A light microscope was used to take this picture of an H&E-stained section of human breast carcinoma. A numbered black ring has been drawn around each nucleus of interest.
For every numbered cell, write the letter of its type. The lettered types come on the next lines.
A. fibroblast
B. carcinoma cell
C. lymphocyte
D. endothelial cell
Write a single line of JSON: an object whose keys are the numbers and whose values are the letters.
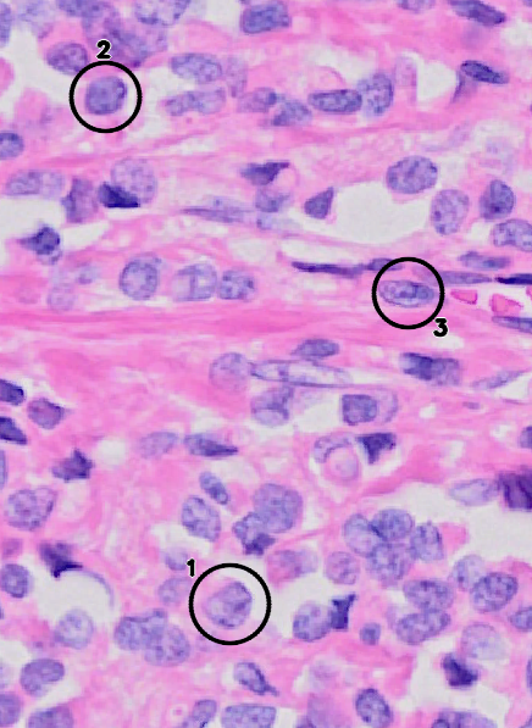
{"1": "B", "2": "B", "3": "D"}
